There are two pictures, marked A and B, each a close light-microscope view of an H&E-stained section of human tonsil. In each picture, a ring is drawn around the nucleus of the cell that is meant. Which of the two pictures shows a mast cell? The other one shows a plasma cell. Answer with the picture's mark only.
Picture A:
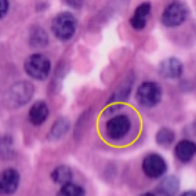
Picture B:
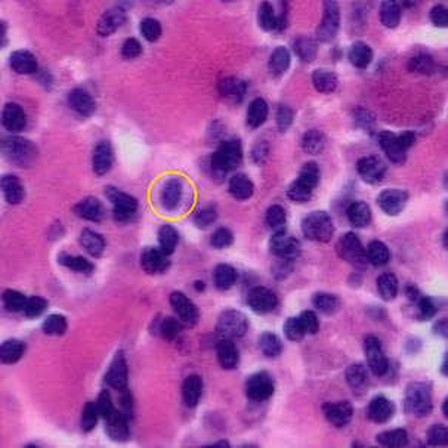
B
